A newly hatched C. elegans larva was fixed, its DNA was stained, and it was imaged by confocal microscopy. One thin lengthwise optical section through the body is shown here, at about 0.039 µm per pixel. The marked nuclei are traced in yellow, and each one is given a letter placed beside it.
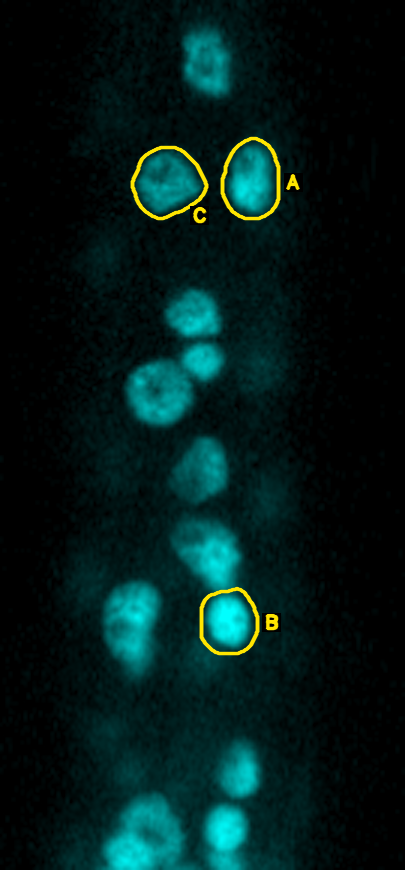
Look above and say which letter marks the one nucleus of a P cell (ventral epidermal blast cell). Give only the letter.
A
